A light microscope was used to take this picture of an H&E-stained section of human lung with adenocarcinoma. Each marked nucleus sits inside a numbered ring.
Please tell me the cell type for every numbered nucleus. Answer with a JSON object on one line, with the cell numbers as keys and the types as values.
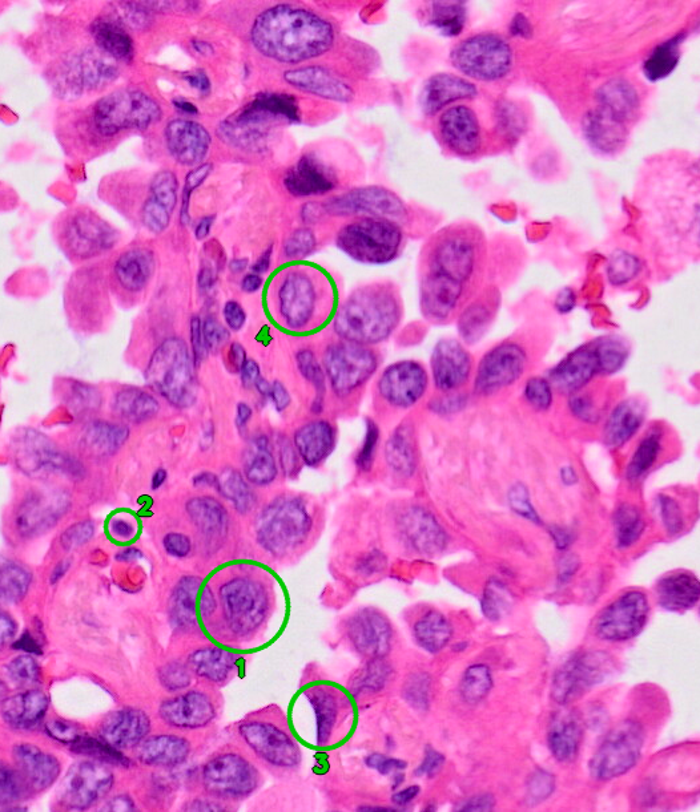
{"1": "carcinoma cell", "2": "lymphocyte", "3": "carcinoma cell", "4": "carcinoma cell"}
